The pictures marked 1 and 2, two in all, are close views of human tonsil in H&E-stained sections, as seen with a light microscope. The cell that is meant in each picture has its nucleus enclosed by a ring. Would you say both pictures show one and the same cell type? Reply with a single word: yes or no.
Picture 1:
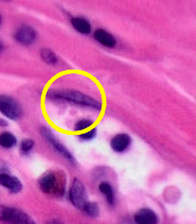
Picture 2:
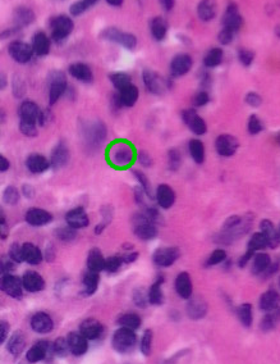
yes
